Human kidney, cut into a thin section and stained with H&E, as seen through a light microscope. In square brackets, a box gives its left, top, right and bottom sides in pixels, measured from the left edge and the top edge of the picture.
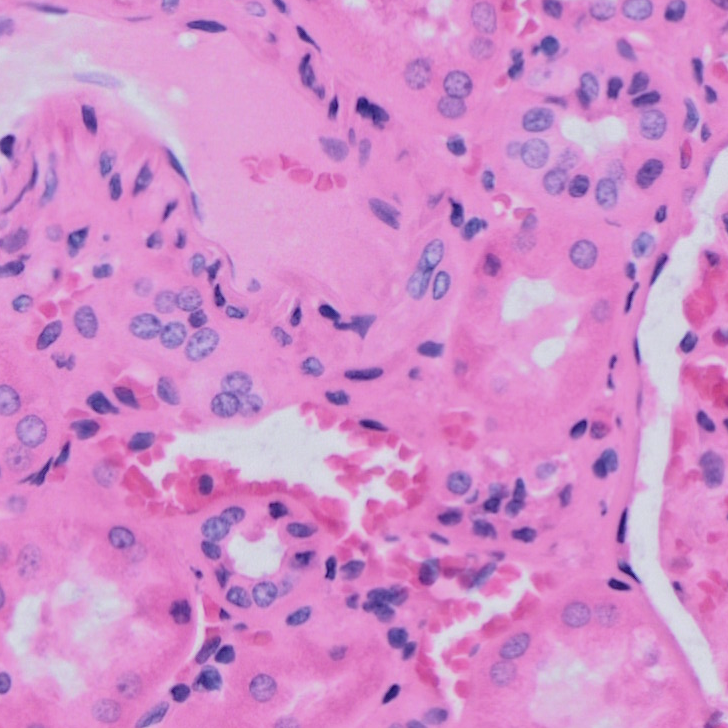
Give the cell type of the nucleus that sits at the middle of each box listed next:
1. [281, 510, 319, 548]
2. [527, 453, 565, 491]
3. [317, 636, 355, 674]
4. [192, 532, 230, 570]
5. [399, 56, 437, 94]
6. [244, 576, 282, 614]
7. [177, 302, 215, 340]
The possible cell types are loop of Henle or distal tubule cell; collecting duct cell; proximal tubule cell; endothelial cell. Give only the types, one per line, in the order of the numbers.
collecting duct cell
loop of Henle or distal tubule cell
proximal tubule cell
collecting duct cell
proximal tubule cell
collecting duct cell
collecting duct cell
